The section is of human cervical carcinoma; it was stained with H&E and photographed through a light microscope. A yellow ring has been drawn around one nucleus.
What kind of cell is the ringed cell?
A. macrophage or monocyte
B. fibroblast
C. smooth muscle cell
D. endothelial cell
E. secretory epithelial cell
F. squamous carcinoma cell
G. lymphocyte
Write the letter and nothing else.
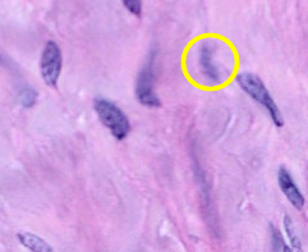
B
